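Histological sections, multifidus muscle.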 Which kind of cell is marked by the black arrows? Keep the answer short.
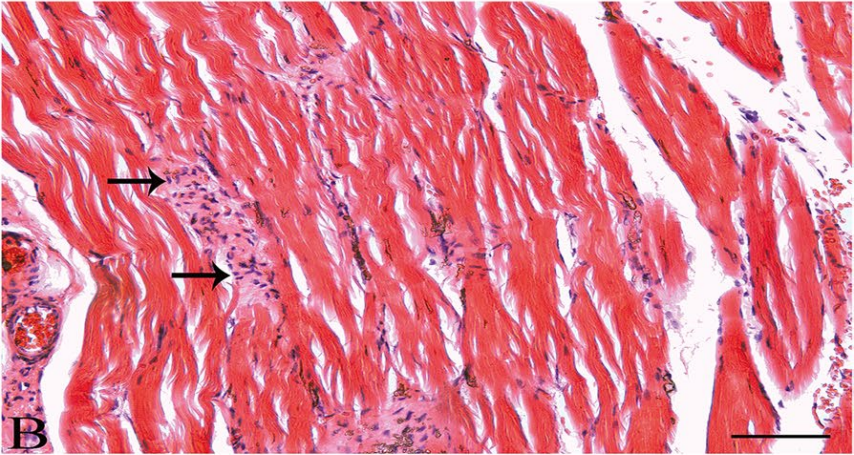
Inflammatory cells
